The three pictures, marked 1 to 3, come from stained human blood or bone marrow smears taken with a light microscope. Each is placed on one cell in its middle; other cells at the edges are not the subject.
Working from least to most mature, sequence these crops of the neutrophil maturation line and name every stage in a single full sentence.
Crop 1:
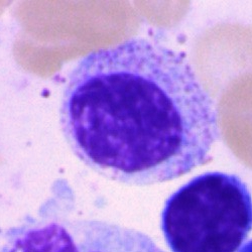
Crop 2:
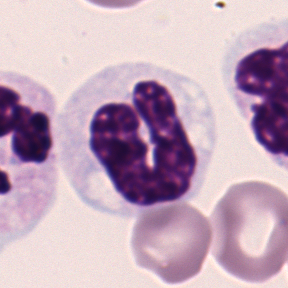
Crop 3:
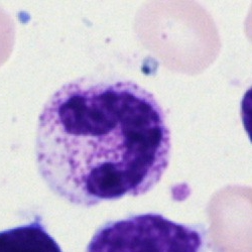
Ordered by maturity, from least to most, the crops are crop 1 (a myelocyte), crop 2 (a band neutrophil) and crop 3 (a segmented neutrophil).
